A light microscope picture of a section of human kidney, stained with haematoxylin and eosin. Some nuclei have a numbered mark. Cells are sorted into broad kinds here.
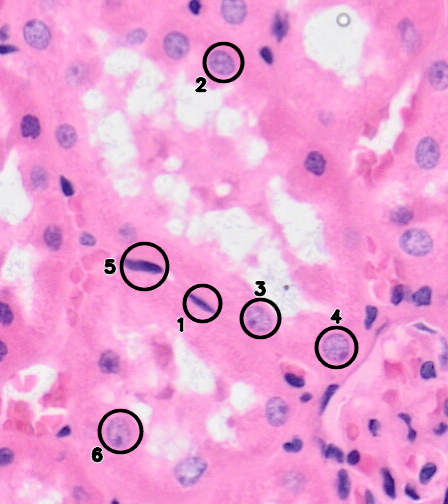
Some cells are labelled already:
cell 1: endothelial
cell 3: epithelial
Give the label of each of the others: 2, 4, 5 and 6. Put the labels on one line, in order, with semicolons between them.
epithelial; epithelial; endothelial; epithelial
